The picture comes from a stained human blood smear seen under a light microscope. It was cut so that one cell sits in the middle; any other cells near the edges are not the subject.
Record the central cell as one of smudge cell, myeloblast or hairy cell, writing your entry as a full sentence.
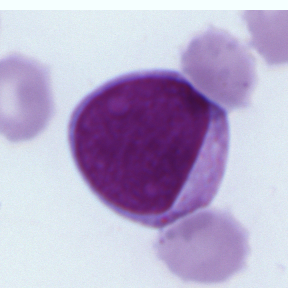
Whatever else lies nearby, the middle cell is a myeloblast.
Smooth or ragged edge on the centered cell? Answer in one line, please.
Around its whole circumference the outline stays smooth, free of projections.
